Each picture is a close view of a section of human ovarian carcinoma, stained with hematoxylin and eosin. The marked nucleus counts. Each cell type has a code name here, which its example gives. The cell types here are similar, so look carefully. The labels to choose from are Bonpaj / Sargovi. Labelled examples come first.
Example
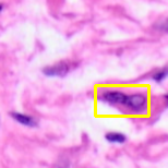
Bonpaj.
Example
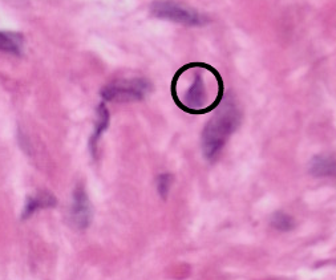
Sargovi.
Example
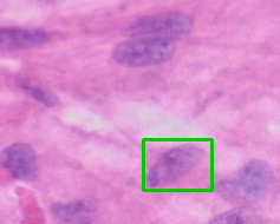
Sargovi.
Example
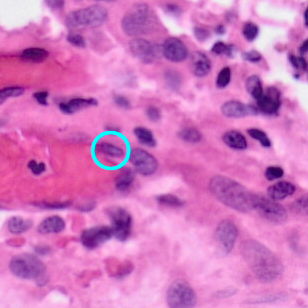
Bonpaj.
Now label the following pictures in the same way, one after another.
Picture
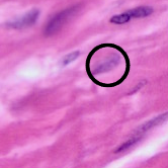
Sargovi.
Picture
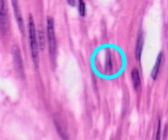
Sargovi.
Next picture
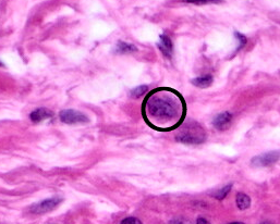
Bonpaj.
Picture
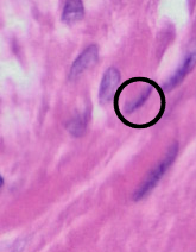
Sargovi.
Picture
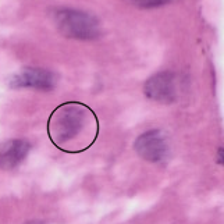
Sargovi.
